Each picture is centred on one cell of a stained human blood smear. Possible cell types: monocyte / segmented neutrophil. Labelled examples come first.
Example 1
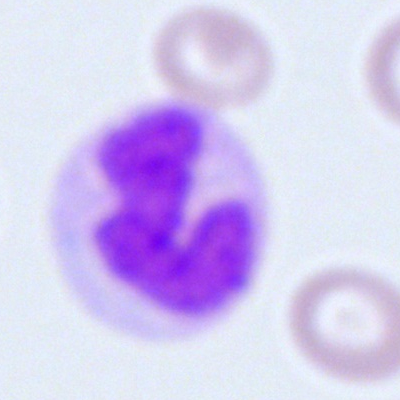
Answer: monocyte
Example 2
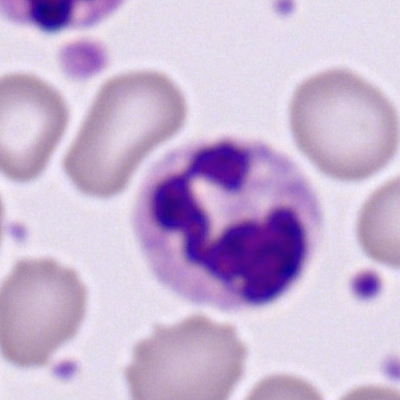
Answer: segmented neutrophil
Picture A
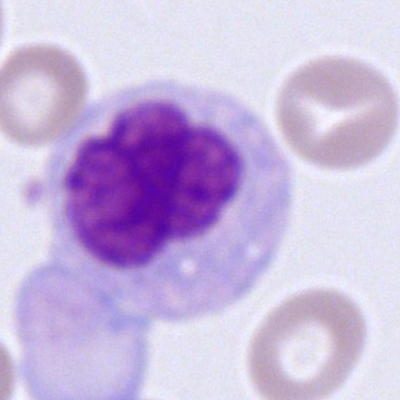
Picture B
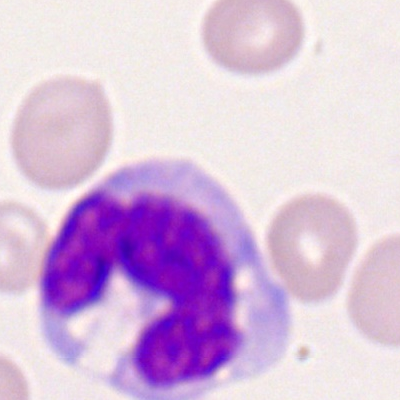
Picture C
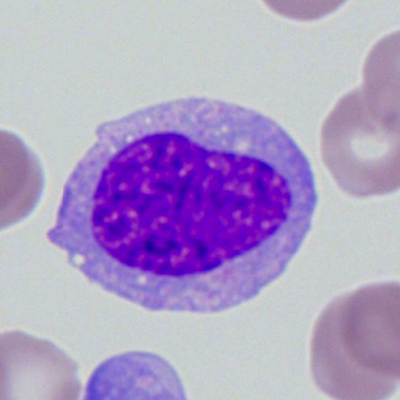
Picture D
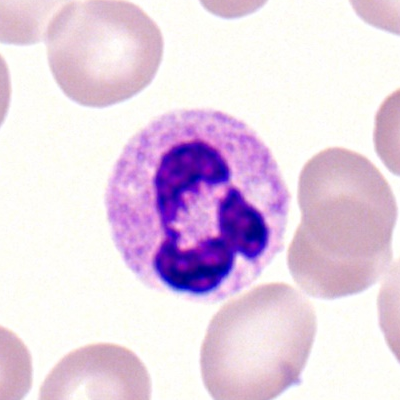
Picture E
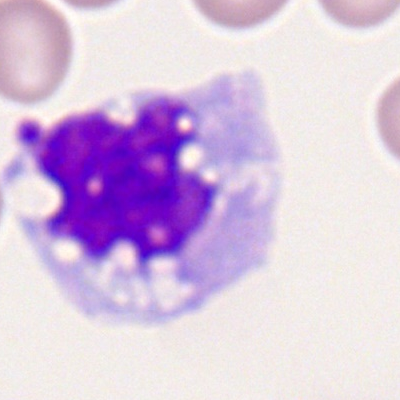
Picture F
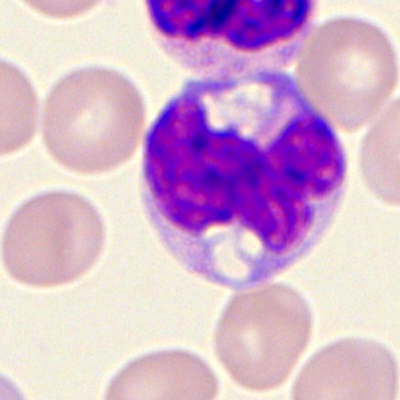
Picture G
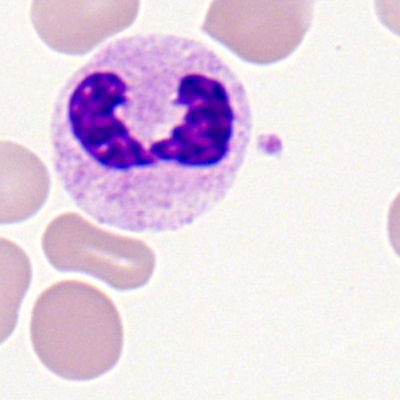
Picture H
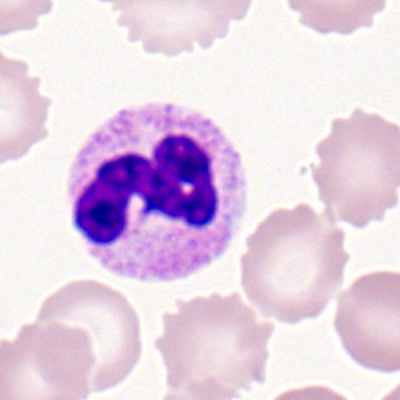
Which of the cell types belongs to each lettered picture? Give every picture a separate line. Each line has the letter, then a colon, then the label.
A: monocyte
B: monocyte
C: monocyte
D: segmented neutrophil
E: monocyte
F: monocyte
G: segmented neutrophil
H: segmented neutrophil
